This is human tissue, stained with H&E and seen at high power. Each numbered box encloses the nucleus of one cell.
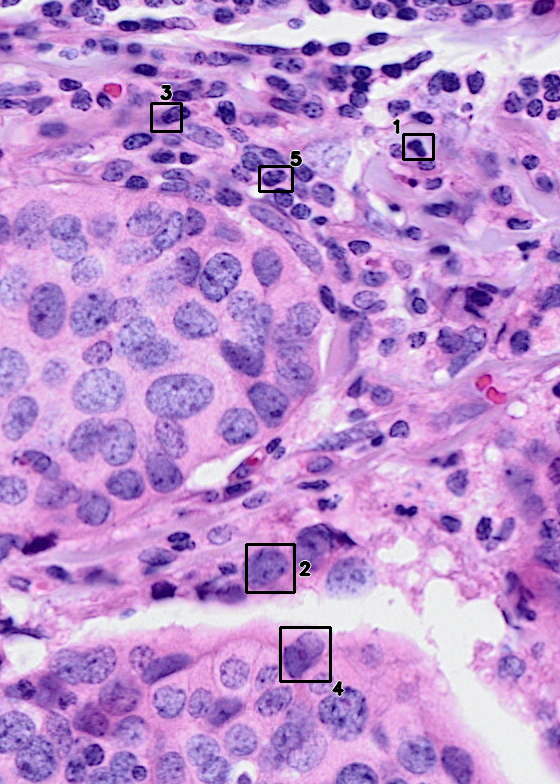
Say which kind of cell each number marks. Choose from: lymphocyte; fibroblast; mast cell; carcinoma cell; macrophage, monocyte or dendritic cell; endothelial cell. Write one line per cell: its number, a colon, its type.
1: lymphocyte
2: carcinoma cell
3: lymphocyte
4: carcinoma cell
5: lymphocyte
